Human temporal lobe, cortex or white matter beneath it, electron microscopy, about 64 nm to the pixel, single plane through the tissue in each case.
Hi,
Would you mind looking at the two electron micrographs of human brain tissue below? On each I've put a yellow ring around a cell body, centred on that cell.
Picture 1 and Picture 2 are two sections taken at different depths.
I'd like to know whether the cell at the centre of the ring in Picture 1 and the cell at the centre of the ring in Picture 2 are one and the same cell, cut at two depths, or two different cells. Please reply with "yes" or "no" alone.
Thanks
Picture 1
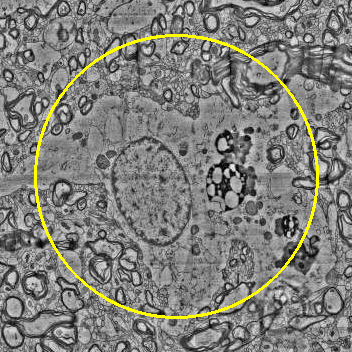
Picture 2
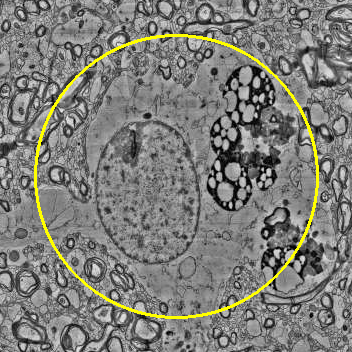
yes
